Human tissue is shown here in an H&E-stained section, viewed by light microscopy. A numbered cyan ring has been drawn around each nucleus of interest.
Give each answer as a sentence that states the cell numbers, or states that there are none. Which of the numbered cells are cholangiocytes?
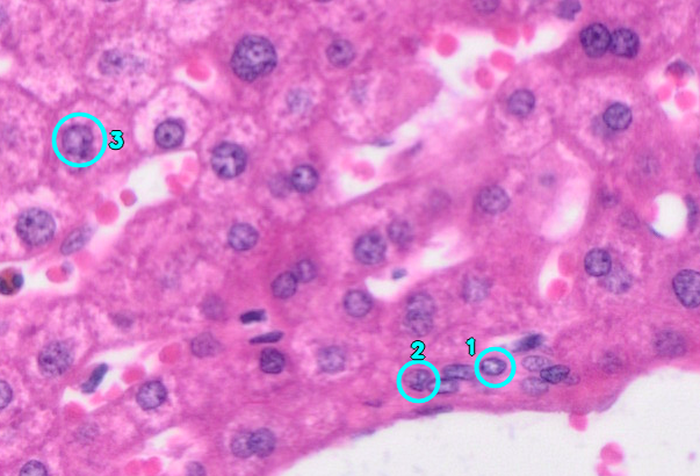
Into the category of cholangiocytes fall the cells numbered 1 and 2.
